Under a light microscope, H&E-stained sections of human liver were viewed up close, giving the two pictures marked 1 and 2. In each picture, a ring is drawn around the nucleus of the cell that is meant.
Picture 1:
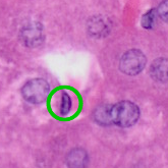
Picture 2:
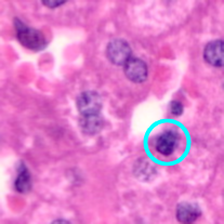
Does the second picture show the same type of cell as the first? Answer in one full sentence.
Yes, both are “fibroblasts or stellate cells”.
